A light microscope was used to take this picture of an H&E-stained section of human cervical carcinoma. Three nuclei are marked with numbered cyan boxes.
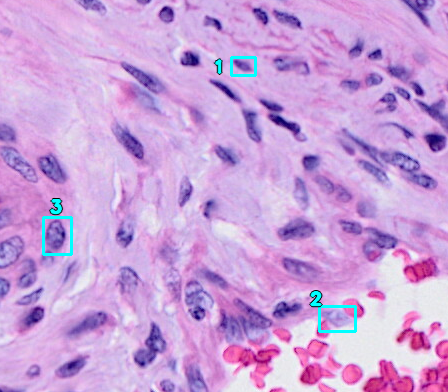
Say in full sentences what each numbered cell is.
Cells 1 and 3 are smooth muscle cells. Cell 2 is an endothelial cell.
